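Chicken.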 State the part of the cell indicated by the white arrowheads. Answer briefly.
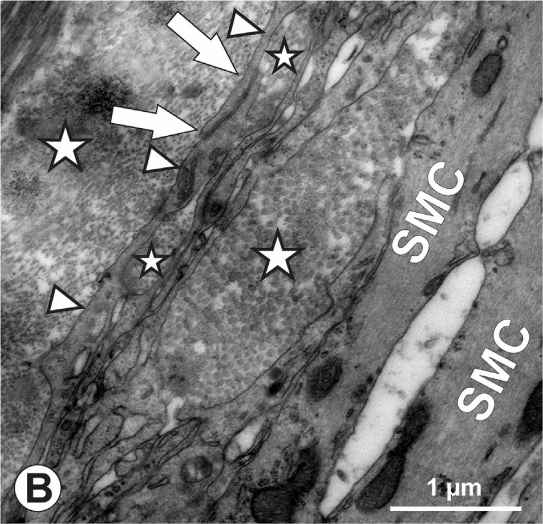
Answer: processes of fibroblasts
